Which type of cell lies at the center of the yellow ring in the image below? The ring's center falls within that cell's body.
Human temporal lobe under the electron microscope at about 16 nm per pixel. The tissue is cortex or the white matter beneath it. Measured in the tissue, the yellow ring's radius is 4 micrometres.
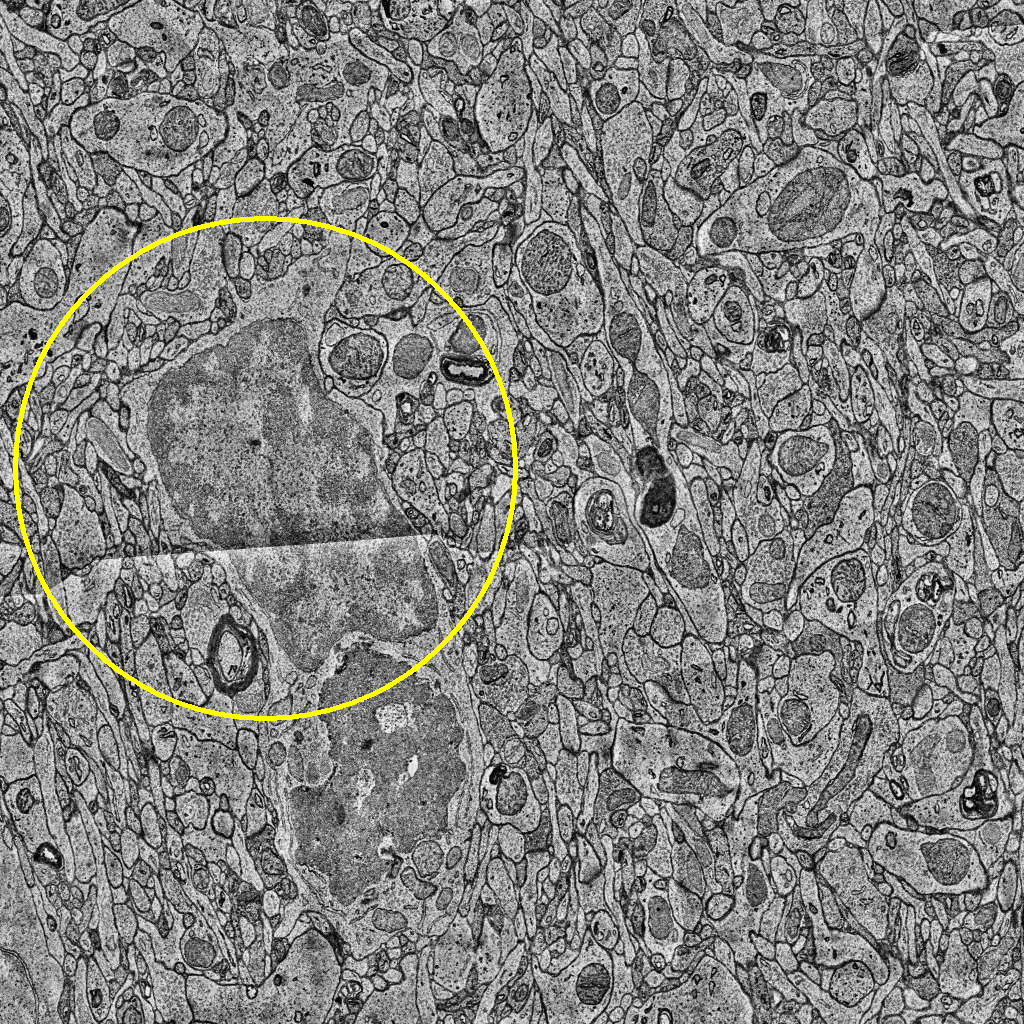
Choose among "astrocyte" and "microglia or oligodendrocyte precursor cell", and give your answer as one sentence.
The cell body at the center belongs to a microglial cell or oligodendrocyte precursor cell.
